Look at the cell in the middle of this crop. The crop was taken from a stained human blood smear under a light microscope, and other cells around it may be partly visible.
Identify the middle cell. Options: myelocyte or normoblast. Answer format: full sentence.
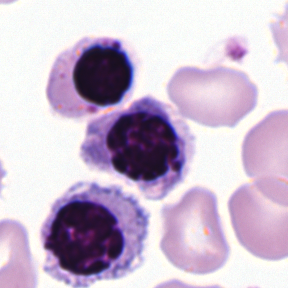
Looking at the middle of the crop, the cell there is a normoblast.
